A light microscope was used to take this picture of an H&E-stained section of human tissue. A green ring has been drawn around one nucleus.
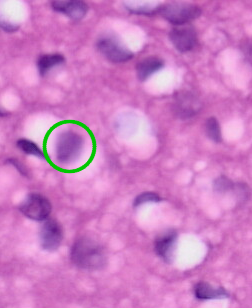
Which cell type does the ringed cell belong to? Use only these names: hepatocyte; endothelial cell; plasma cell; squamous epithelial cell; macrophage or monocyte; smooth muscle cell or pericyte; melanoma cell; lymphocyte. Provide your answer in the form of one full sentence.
Cell type answer for this item: the ringed cell is a squamous epithelial cell.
